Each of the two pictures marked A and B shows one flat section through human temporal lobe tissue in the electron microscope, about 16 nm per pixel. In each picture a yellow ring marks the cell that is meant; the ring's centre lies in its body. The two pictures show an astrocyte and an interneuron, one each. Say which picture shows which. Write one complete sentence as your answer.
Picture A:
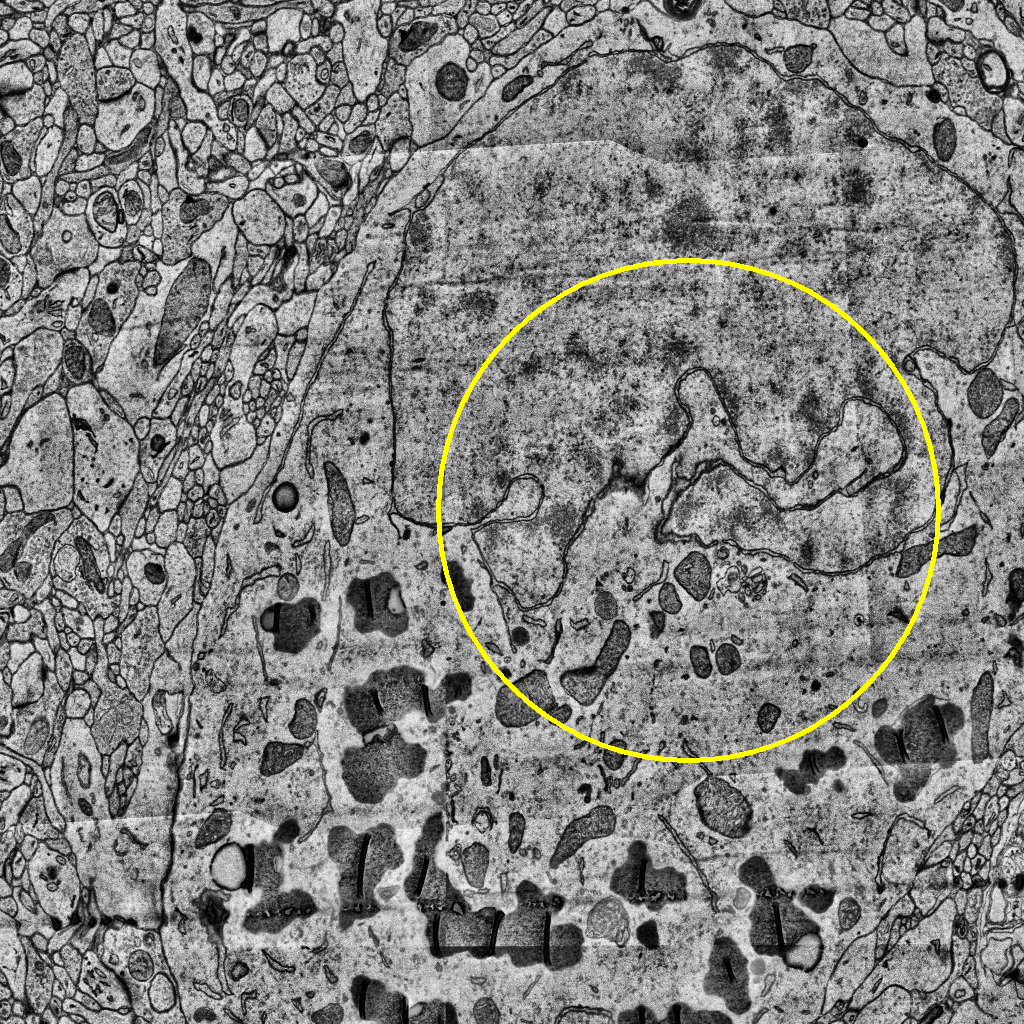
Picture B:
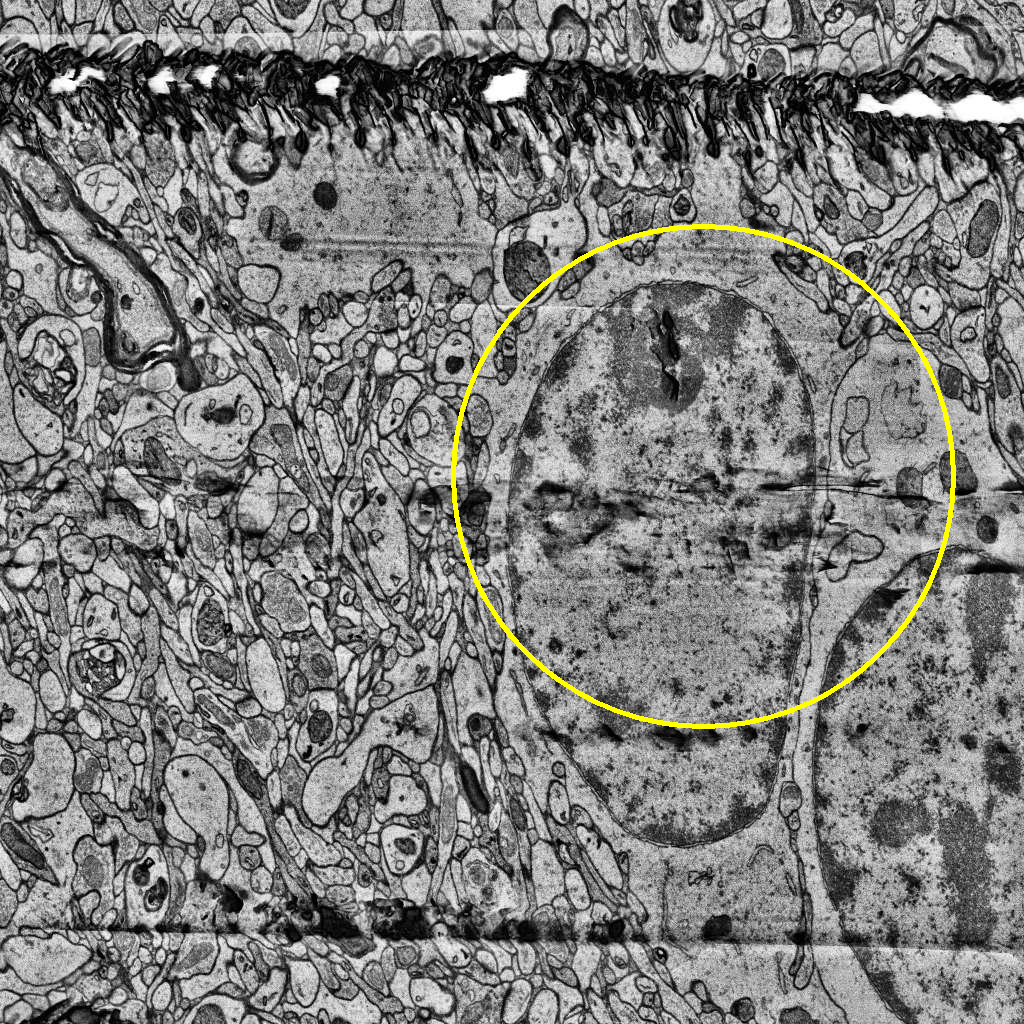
Picture B shows an astrocyte, while picture A shows an interneuron.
